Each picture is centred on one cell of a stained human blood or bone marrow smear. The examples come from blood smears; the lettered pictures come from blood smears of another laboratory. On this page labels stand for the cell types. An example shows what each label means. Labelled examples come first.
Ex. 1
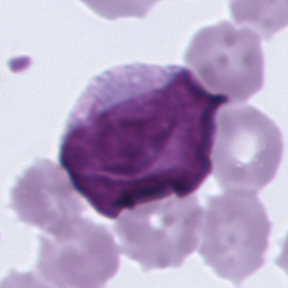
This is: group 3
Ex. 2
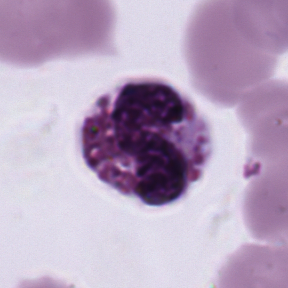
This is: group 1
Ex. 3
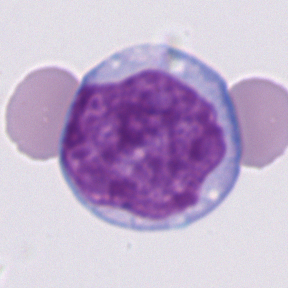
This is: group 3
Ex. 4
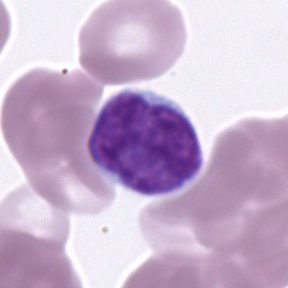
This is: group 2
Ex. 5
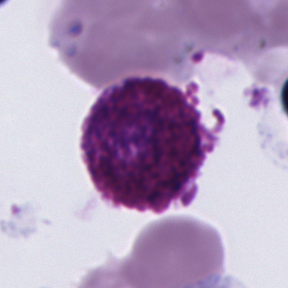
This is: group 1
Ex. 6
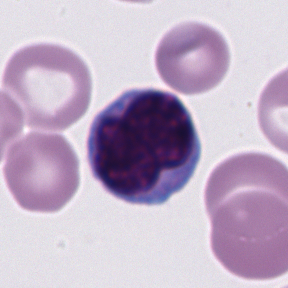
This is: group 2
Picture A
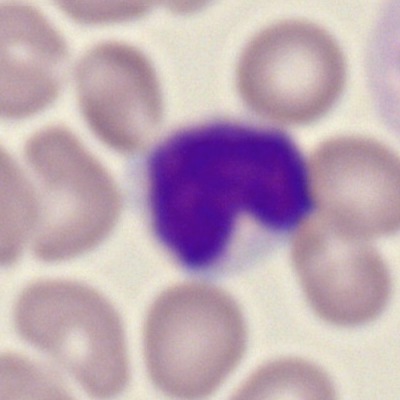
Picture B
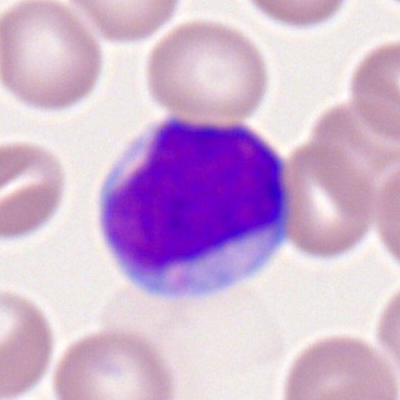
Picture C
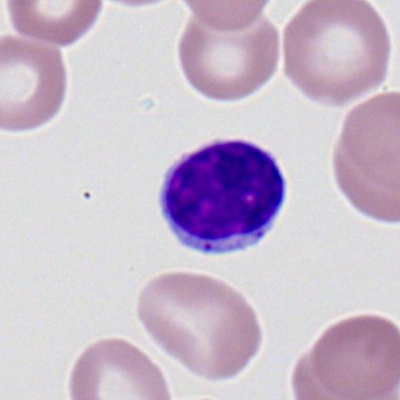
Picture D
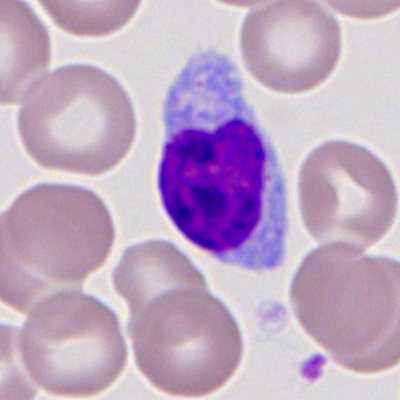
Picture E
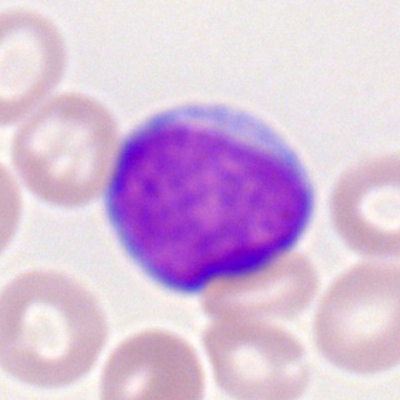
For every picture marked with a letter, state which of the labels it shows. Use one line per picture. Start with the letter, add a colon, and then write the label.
A: group 2
B: group 3
C: group 2
D: group 2
E: group 3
